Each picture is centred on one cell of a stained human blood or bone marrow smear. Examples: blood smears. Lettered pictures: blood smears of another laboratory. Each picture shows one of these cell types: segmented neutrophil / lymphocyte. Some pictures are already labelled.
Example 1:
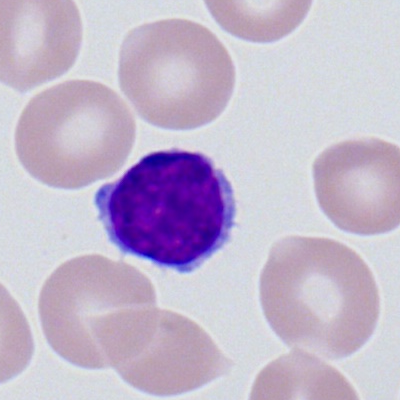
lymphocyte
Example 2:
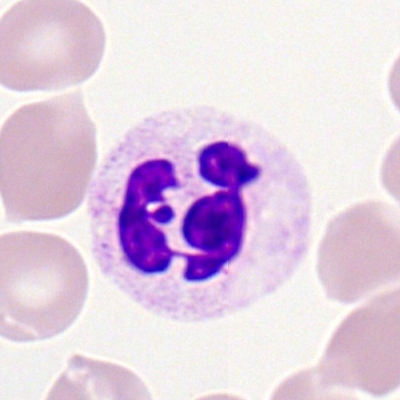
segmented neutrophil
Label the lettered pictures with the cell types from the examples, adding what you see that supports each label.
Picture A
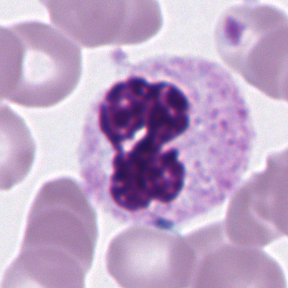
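segmented neutrophil. The cytoplasm is abundant and pale pinkish-lilac.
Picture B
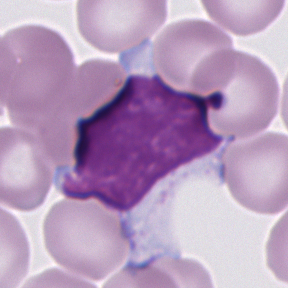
lymphocyte. The nucleus fills most of the cell, and most of the cytoplasm lies at its lower right.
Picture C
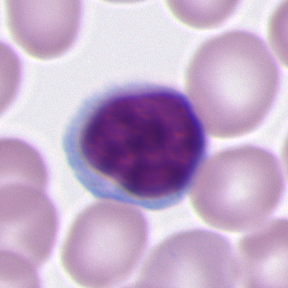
lymphocyte. The nucleus fills most of the cell and sits toward its upper right.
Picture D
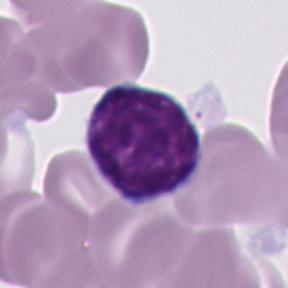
lymphocyte. Only a very thin rim of cytoplasm is visible around the nucleus.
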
